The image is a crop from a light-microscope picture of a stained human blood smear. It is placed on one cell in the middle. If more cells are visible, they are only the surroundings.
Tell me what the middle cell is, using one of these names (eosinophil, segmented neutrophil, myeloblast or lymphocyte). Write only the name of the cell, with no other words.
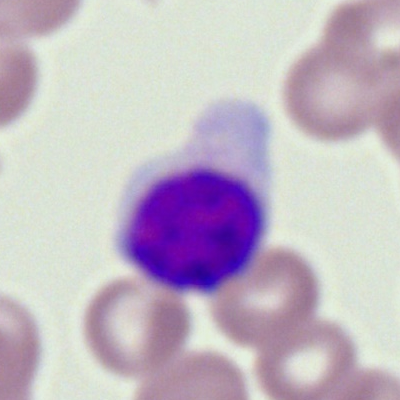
lymphocyte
